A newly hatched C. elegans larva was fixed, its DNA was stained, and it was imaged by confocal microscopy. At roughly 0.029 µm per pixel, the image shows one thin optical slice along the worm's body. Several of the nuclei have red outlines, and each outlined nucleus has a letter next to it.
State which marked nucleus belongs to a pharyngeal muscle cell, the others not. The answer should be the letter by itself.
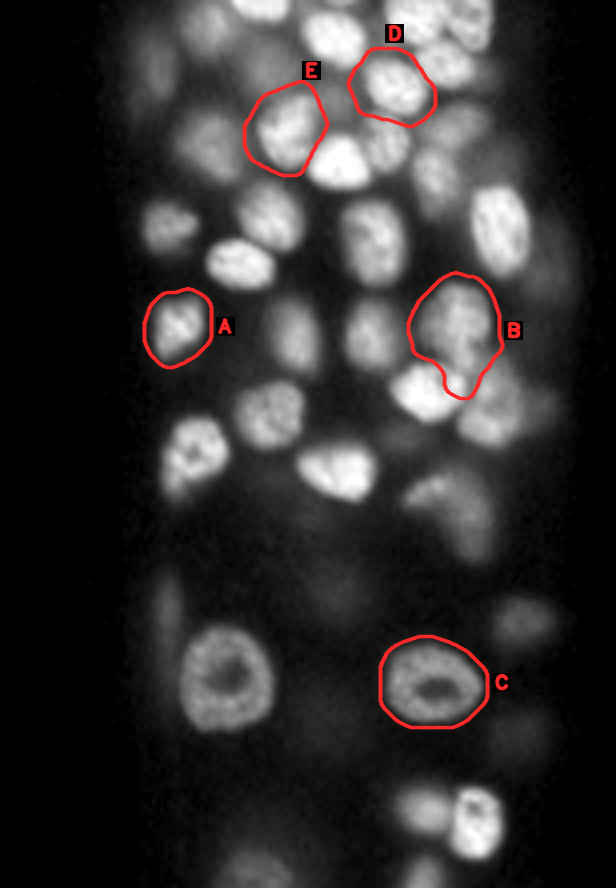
E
